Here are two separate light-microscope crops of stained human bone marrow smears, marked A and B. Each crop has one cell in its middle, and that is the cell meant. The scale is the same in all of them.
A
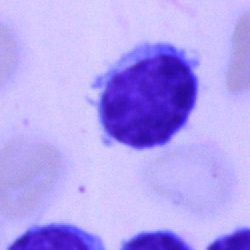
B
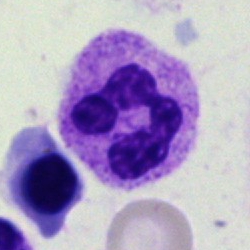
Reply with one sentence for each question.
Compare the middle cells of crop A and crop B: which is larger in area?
It is the cell in crop B, about 2 times as large in area as the cell in crop A.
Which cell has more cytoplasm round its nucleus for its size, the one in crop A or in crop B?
Of the two, the nucleus in crop B leaves more room for cytoplasm.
